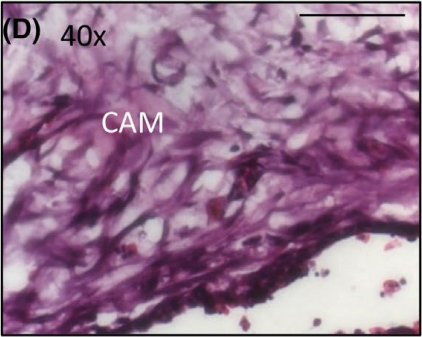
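The membrane is a loose connective tissue stained purple, made of wavy fibres with elongated, spindle-shaped dark nuclei lying along them and pale spaces between. Toward the lower border the tissue becomes denser, with a crowded band of small dark nuclei marking the membrane's edge.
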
